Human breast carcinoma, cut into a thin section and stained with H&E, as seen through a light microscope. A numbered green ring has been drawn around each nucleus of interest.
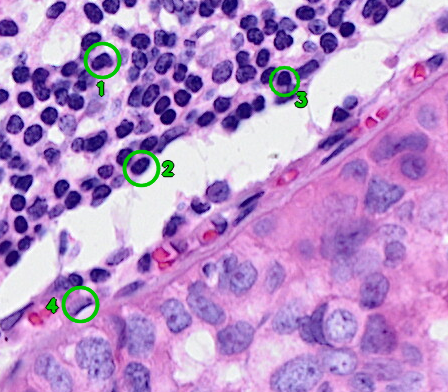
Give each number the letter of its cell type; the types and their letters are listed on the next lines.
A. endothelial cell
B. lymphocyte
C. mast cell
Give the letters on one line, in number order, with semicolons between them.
B; B; B; A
